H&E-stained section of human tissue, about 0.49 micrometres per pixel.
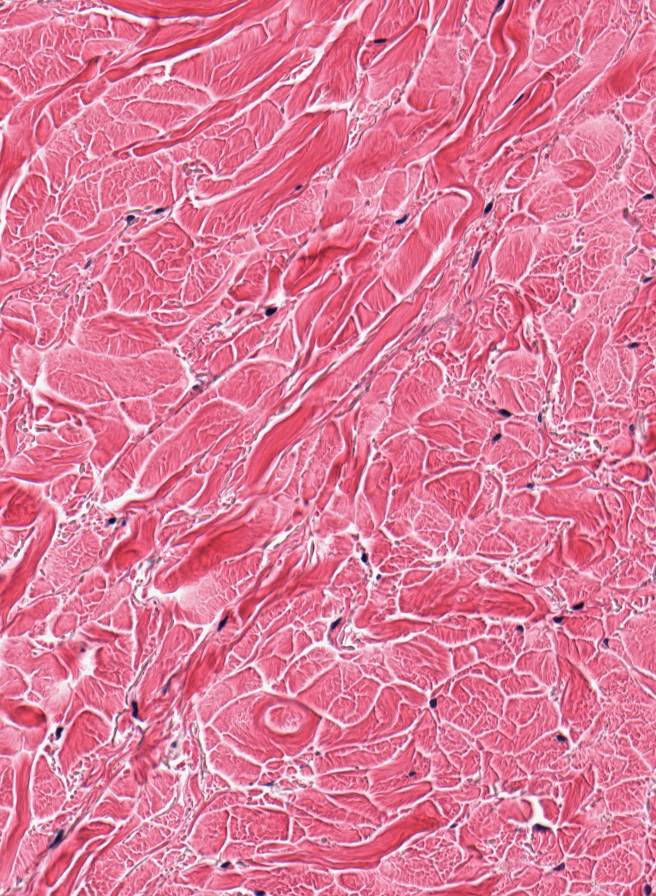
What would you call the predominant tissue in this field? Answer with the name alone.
dermis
